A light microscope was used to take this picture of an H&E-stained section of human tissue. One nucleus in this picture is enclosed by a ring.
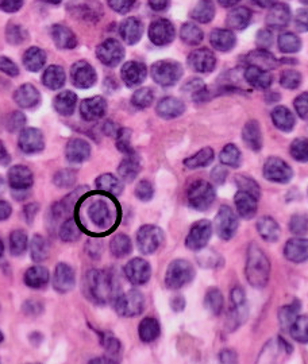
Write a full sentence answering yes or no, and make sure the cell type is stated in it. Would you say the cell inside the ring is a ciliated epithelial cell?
No, the cell inside the ring is reported as a lymphocyte rather than a ciliated epithelial cell.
